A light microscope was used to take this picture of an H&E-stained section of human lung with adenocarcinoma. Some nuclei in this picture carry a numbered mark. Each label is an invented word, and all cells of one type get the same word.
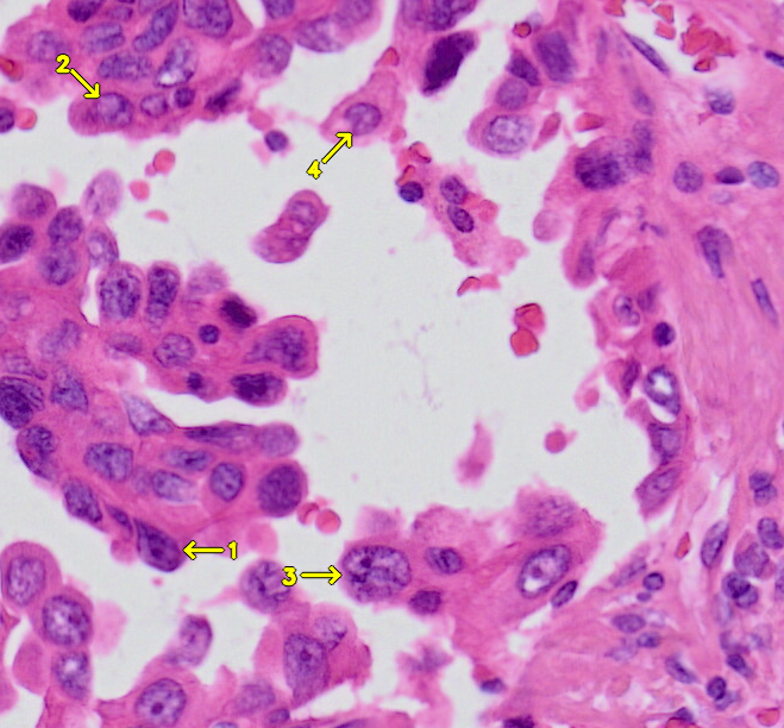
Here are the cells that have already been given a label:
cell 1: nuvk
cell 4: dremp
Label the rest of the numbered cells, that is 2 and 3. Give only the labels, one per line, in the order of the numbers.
nuvk
nuvk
